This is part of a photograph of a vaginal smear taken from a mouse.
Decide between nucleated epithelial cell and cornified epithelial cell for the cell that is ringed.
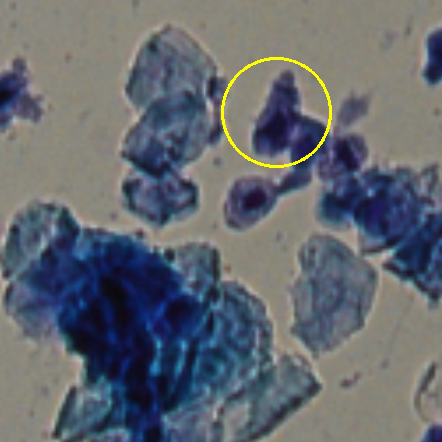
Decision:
I take the ringed cell for a nucleated epithelial cell.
